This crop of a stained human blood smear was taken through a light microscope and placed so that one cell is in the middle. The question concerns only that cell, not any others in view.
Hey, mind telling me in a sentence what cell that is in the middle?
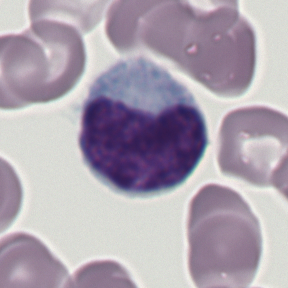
The cell under consideration, at the middle of the crop, is a monocyte.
